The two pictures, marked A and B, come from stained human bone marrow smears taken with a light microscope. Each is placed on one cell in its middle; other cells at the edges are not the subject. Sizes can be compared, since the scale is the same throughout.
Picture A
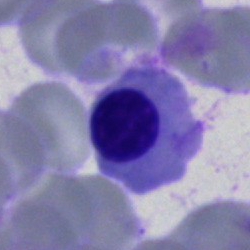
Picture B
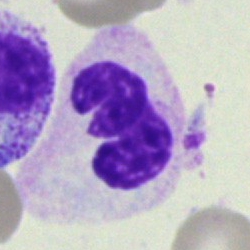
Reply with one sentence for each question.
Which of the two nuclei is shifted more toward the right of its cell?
In picture B the nucleus is shifted more toward the right.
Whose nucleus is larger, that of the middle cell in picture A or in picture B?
The nucleus in picture B is larger, with about 2 times the area of the one in picture A.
